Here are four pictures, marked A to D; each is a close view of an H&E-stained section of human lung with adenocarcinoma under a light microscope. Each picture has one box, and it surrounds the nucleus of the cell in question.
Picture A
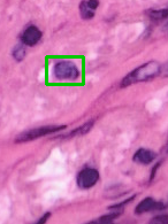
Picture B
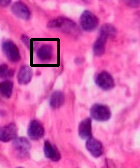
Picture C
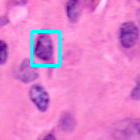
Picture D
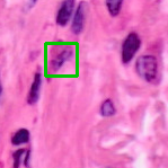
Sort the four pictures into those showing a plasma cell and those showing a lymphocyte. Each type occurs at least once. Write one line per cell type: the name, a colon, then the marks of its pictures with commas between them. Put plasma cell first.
plasma cell: C, D
lymphocyte: A, B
